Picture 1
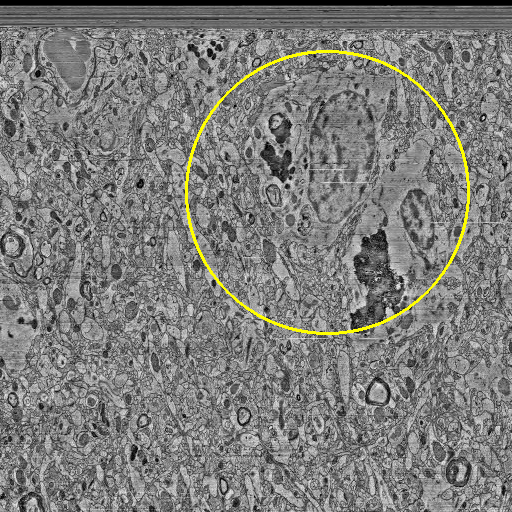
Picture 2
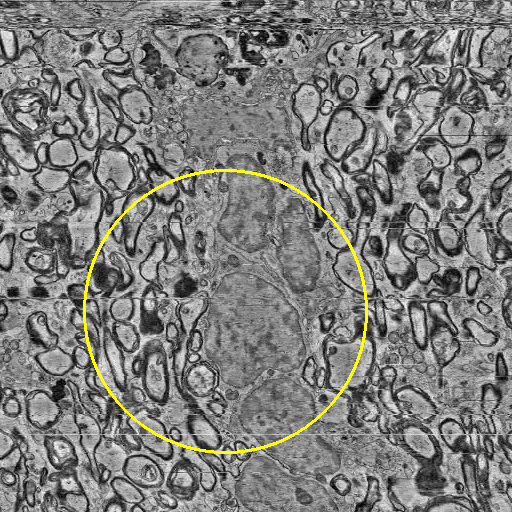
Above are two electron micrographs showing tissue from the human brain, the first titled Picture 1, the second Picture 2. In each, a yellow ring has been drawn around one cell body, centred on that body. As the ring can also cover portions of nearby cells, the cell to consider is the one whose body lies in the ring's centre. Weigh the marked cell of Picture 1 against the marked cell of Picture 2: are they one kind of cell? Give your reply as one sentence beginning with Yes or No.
No, the two cells sitting at the ring centres in the pictures are of two kinds.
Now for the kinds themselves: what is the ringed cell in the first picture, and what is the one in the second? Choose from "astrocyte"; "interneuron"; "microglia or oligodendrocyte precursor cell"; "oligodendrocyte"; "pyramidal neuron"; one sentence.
Here the first cell is an astrocyte and the second cell is an oligodendrocyte.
